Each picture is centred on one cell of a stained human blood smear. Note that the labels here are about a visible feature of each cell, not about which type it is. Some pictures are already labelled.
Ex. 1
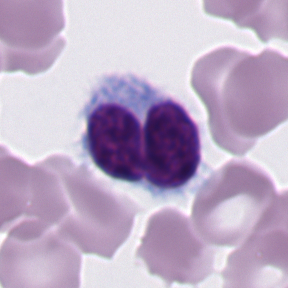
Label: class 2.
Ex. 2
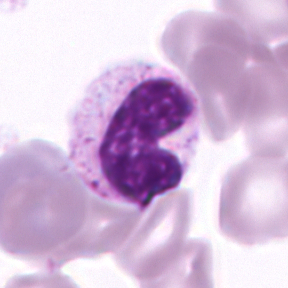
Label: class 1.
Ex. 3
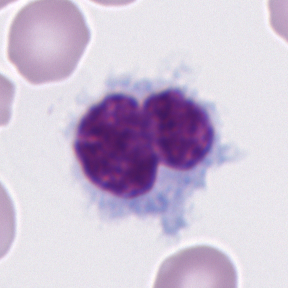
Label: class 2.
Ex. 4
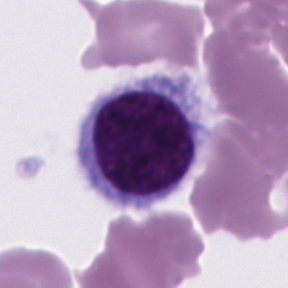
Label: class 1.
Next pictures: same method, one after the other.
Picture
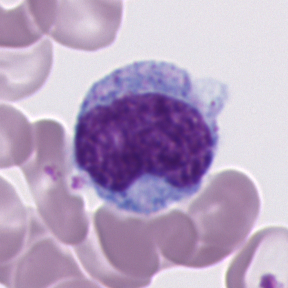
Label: class 1.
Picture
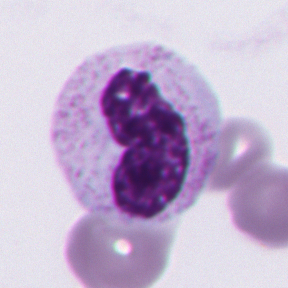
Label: class 2.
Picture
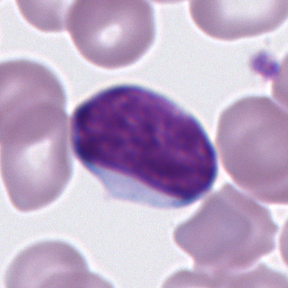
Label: class 1.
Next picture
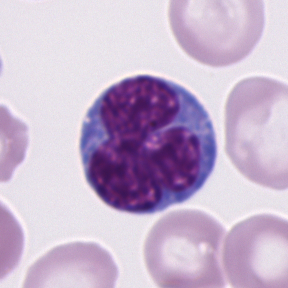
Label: class 2.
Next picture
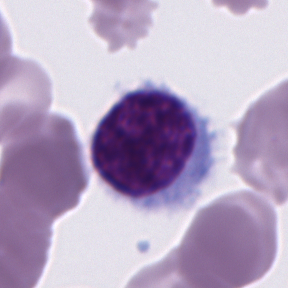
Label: class 1.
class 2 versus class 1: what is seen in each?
class 2: lobed nucleus; class 1: single compact nucleus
